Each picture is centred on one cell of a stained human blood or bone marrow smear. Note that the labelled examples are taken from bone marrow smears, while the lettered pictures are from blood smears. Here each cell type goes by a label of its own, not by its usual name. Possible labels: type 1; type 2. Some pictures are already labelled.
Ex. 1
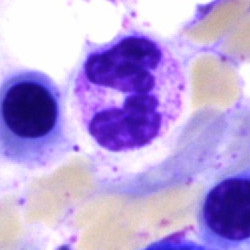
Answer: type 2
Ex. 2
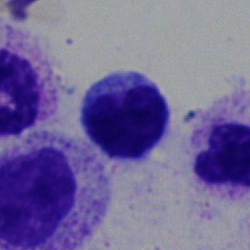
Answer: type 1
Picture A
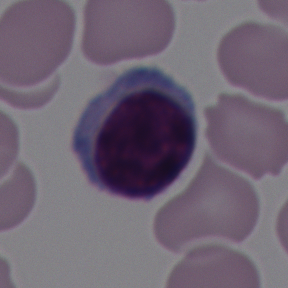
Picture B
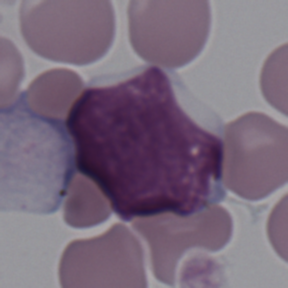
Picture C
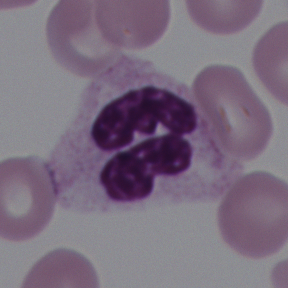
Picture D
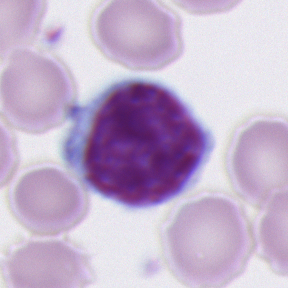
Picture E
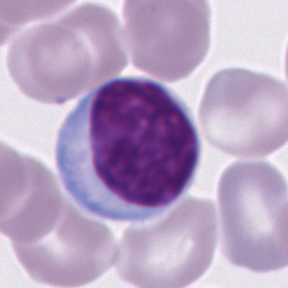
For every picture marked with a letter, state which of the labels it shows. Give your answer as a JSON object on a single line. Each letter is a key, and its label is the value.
{"A": "type 1", "B": "type 1", "C": "type 2", "D": "type 1", "E": "type 1"}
